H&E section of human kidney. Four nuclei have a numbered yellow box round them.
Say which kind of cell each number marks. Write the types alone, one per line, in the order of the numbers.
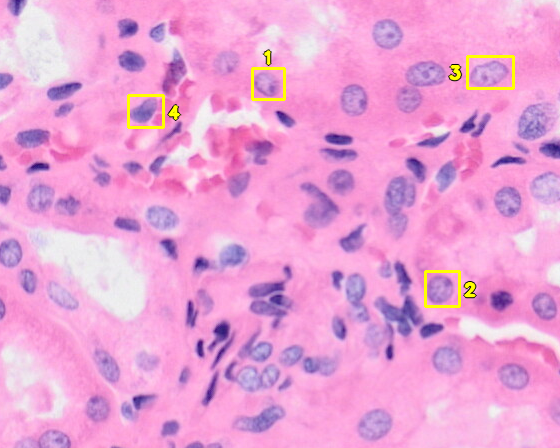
proximal tubule cell
proximal tubule cell
proximal tubule cell
endothelial cell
